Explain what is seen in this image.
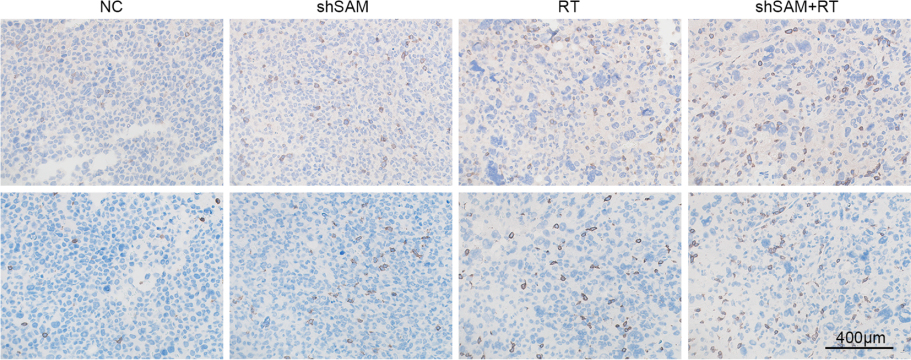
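This is a grid of sections through tumor tissue made of densely packed tumor cells, with scattered small stained cells lying among them. The tumor cells form solid sheets without obvious glandular or layered organization, and their round to oval nuclei are counterstained pale to mid blue and vary somewhat in size. Among them are small cells with a thin brown rim of membrane staining, lying singly and scattered through the sheets rather than in clusters. The number of these brown-rimmed cells differs between the images: some fields contain only a few, others many.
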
